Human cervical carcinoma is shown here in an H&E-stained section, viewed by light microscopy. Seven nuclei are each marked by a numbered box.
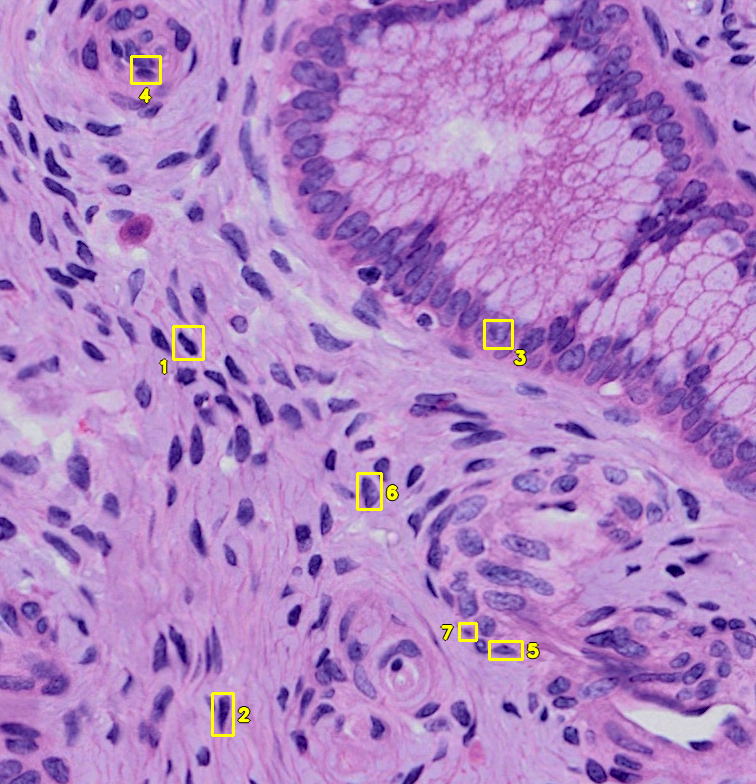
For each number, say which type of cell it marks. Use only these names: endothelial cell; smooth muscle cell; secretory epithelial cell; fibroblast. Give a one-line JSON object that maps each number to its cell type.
{"1": "fibroblast", "2": "fibroblast", "3": "secretory epithelial cell", "4": "endothelial cell", "5": "smooth muscle cell", "6": "fibroblast", "7": "smooth muscle cell"}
